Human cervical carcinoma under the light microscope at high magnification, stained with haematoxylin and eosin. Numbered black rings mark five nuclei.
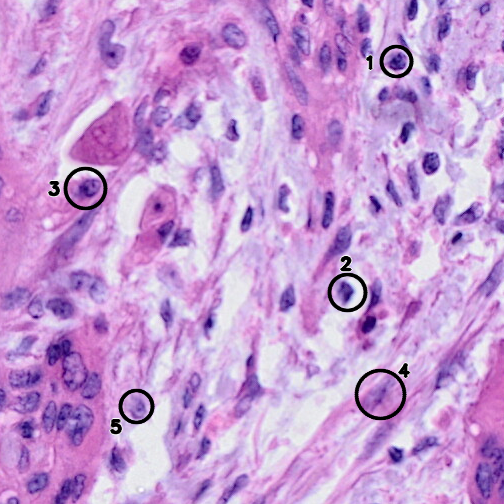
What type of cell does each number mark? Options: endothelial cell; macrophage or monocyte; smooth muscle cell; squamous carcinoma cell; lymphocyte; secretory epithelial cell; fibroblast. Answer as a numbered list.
1. lymphocyte
2. lymphocyte
3. macrophage or monocyte
4. fibroblast
5. fibroblast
